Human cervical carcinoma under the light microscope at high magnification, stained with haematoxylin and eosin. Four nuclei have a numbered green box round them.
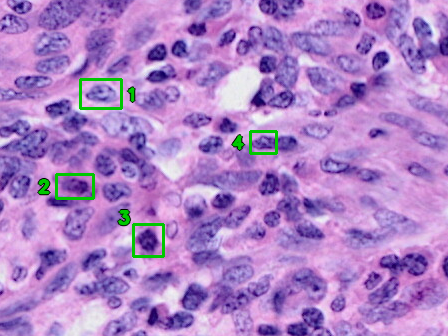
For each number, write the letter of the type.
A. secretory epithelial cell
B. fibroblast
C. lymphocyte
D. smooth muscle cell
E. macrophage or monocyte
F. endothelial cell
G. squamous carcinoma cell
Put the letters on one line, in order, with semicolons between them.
C; G; C; C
